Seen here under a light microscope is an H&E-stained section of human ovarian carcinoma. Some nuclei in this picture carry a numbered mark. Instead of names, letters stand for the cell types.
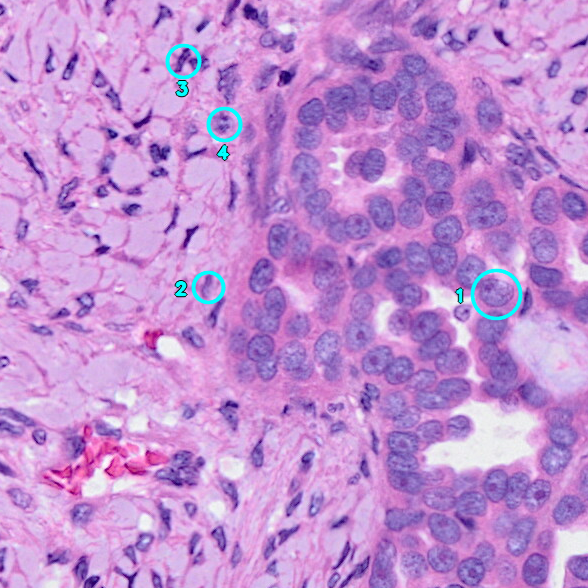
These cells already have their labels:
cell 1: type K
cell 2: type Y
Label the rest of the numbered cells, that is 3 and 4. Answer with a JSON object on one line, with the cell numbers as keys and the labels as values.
{"3": "type Y", "4": "type Y"}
